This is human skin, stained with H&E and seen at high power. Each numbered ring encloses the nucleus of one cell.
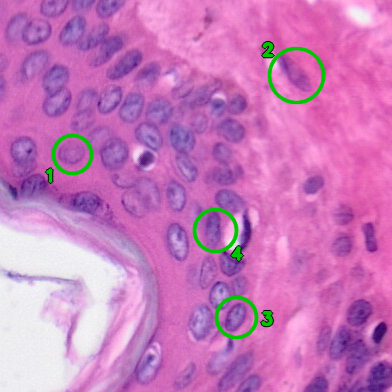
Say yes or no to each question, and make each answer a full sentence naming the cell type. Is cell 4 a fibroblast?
No, that is wrong: cell 4 is a basal keratinocyte, and not a fibroblast.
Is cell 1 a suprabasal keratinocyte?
Yes, the cell indicated by number 1 is a suprabasal keratinocyte.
